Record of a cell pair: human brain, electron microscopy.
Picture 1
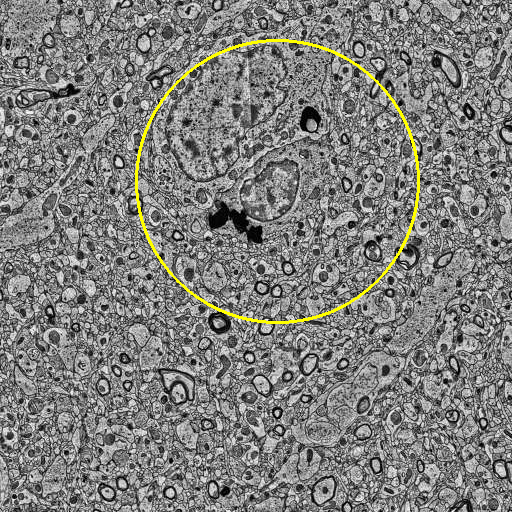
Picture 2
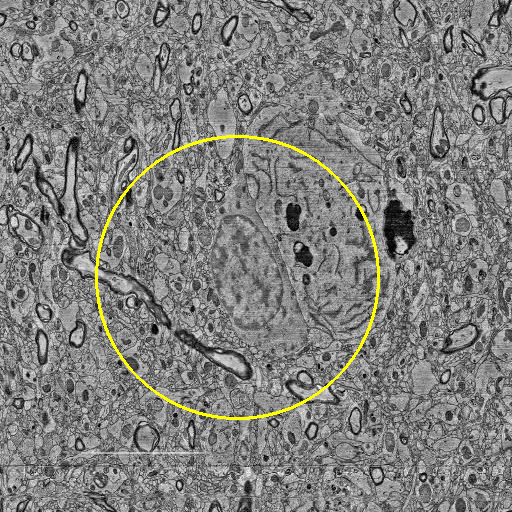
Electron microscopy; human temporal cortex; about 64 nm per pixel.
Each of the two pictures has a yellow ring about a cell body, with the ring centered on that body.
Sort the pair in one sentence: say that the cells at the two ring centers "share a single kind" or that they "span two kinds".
The cells centered in the rings of Pictures 1 and 2 share a single kind.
